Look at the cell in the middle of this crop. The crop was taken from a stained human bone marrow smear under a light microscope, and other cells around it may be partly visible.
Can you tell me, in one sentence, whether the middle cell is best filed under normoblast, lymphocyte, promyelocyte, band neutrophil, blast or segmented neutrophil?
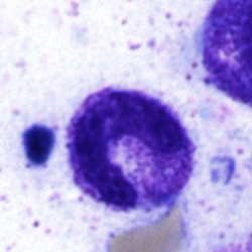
The central cell in this smear crop is a band neutrophil.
